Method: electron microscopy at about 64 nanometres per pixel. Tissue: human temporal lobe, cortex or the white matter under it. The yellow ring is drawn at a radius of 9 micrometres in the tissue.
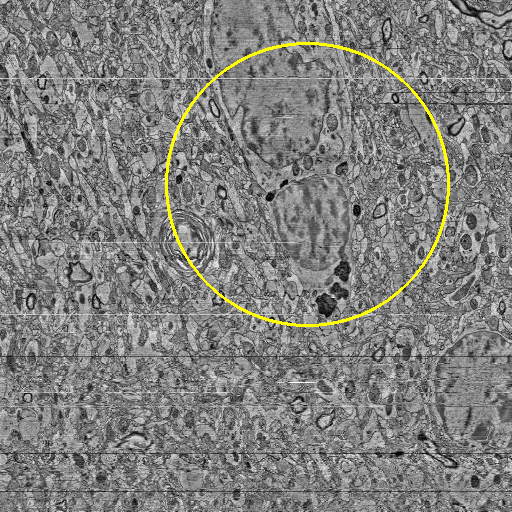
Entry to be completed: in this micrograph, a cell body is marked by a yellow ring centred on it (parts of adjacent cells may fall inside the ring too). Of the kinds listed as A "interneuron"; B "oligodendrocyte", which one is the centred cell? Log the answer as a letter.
B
